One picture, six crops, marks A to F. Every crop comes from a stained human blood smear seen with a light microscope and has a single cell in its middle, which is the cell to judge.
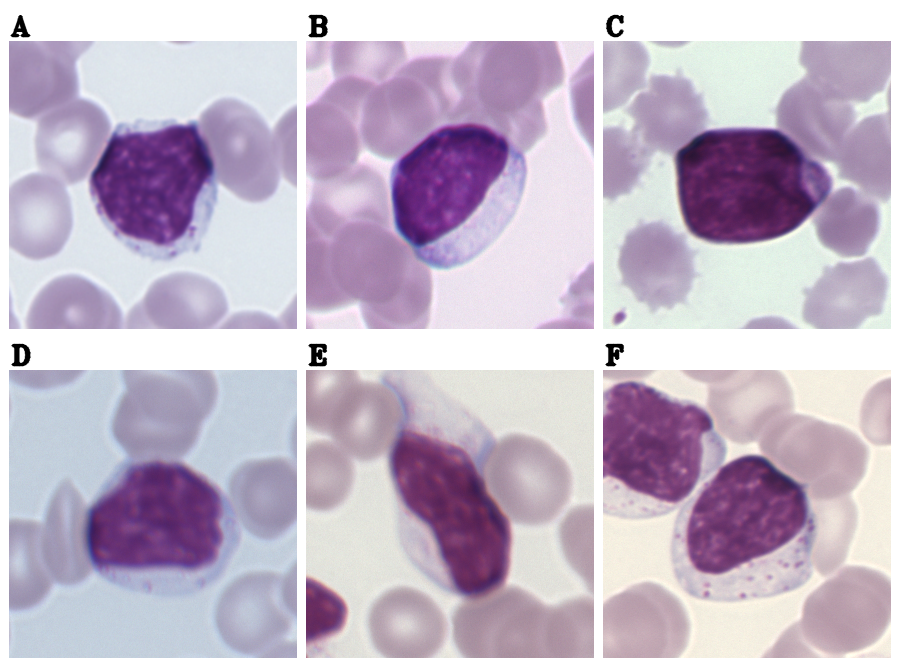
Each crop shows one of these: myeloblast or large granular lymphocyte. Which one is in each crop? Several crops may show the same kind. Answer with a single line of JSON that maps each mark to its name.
{"A": "large granular lymphocyte", "B": "large granular lymphocyte", "C": "myeloblast", "D": "large granular lymphocyte", "E": "large granular lymphocyte", "F": "large granular lymphocyte"}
